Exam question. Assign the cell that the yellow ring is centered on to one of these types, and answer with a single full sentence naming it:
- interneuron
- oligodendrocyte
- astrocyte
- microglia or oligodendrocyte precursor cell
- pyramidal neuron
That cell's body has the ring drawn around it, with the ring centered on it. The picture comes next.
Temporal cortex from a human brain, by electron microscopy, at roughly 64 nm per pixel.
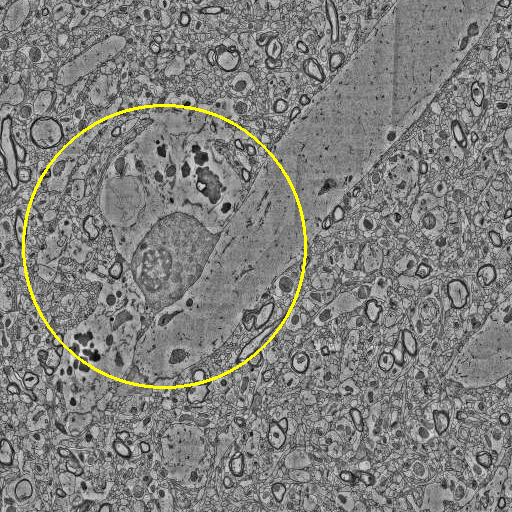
In the micrograph, the cell the yellow ring is centered on is an oligodendrocyte.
